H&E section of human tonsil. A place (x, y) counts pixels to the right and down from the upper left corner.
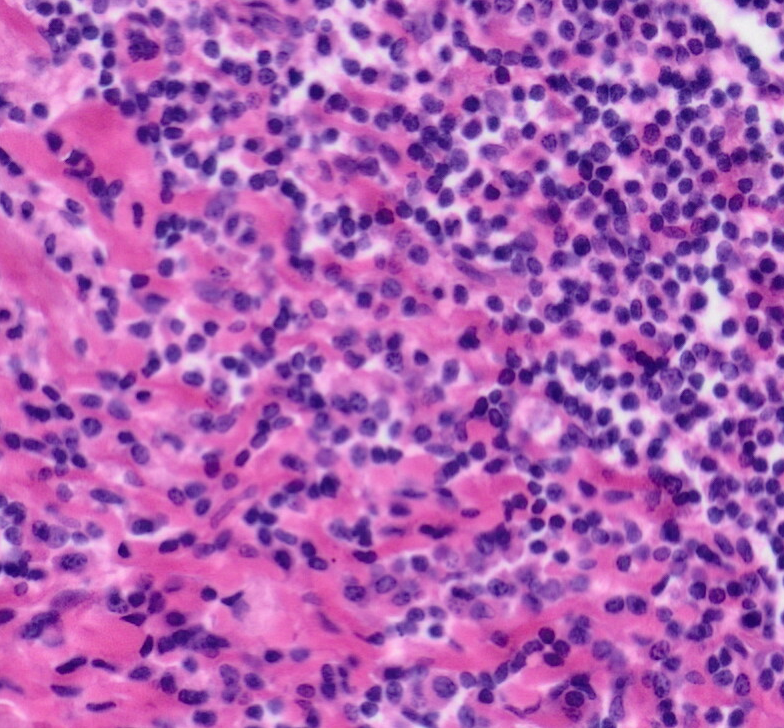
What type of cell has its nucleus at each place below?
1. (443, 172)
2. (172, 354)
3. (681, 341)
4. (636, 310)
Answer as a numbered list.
1. small lymphocyte
2. mast cell
3. small lymphocyte
4. small lymphocyte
